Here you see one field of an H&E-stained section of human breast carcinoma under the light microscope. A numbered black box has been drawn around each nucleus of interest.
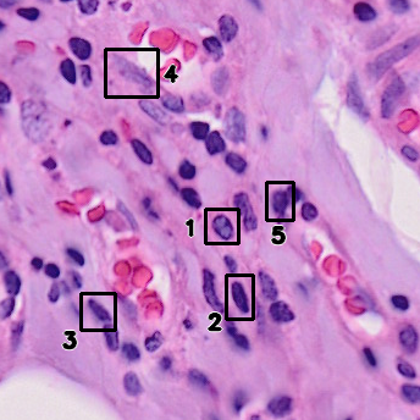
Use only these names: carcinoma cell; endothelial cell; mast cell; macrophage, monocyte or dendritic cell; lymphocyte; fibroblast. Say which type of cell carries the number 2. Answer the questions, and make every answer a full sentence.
The cell numbered 2 has been identified as a lymphocyte.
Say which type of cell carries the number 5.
The nucleus labeled 5 belongs to a lymphocyte.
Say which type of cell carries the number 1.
Recognised here as a mast cell is the cell numbered 1.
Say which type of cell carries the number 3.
Classified as a lymphocyte is the cell with the number 3.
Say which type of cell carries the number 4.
The cell marked with the number 4 is an endothelial cell.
